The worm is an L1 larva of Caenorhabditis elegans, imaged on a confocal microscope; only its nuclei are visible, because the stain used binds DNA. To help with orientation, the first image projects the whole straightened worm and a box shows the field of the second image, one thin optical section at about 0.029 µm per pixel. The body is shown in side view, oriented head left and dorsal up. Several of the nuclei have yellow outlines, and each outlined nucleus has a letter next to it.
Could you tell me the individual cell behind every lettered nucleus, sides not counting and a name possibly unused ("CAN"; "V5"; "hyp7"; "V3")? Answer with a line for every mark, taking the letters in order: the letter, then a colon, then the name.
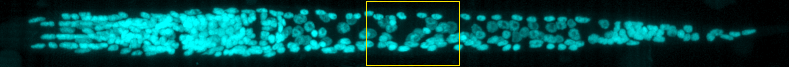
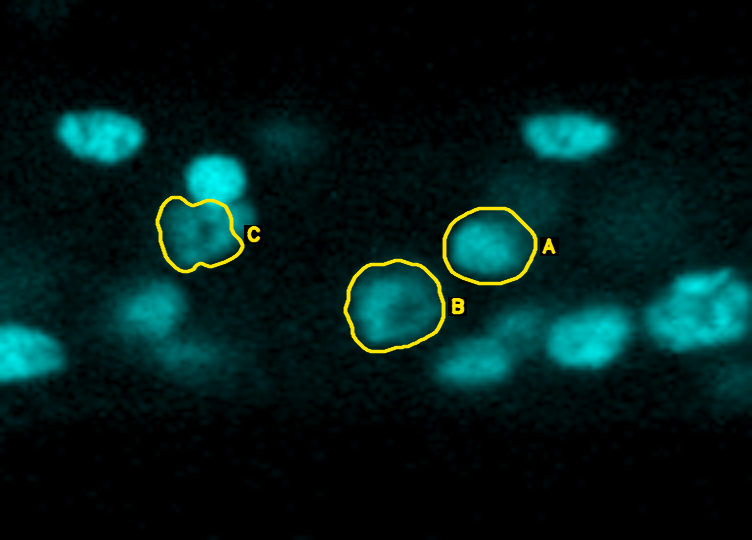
A: CAN
B: V3
C: hyp7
